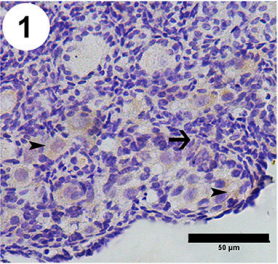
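This is the outer part of an ovary in which large oocytes are scattered among dense small somatic cells. The oocytes are round and pale with a large round nucleus, and several show light brown staining of the cytoplasm. The somatic cells are small with dark blue nuclei and crowd the spaces between the oocytes and along the tissue edge.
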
